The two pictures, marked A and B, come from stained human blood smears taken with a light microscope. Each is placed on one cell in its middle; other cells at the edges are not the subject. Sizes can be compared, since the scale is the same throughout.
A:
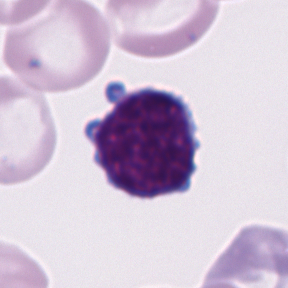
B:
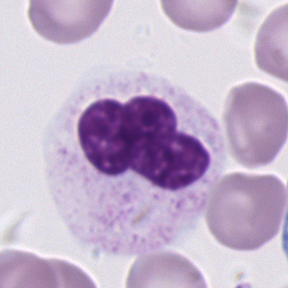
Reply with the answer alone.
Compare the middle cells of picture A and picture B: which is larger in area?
B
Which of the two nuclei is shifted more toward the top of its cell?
B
